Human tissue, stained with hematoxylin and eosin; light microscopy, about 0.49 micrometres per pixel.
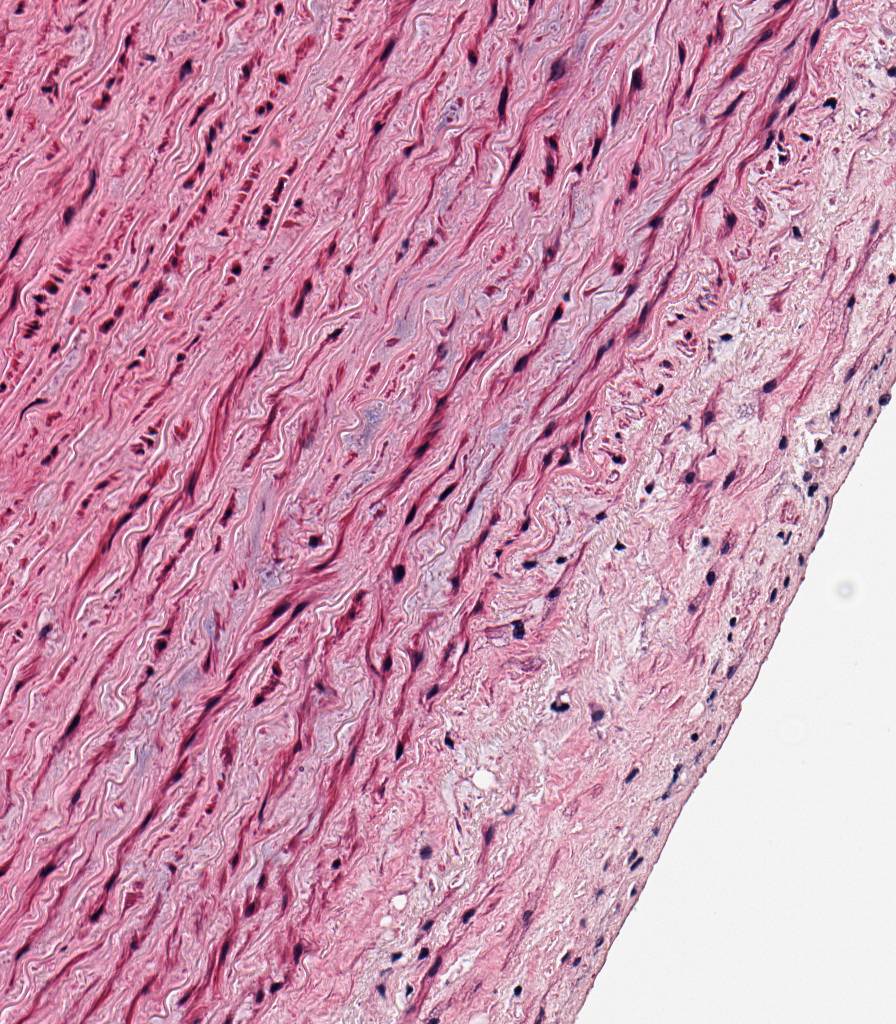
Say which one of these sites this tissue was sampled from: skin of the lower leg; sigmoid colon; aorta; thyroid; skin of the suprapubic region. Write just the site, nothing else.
aorta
